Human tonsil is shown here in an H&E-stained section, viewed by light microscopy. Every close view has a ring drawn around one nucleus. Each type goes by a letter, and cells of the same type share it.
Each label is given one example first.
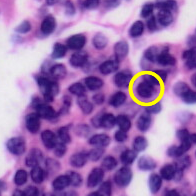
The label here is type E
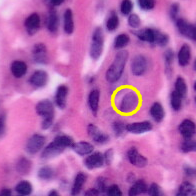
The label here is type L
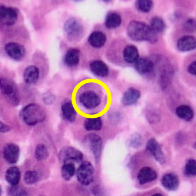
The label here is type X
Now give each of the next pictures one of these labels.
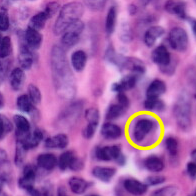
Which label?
type X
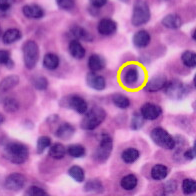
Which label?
type X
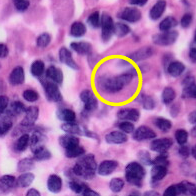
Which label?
type L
